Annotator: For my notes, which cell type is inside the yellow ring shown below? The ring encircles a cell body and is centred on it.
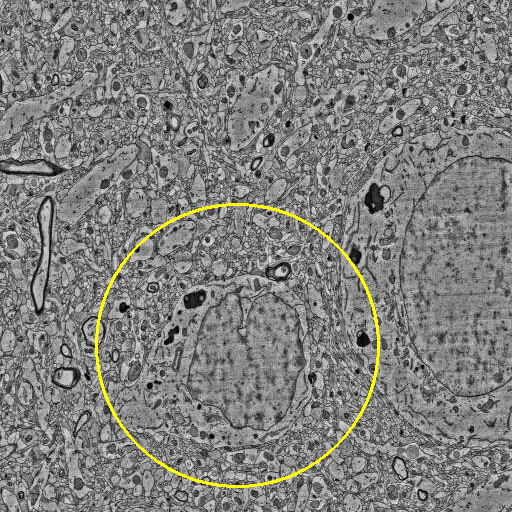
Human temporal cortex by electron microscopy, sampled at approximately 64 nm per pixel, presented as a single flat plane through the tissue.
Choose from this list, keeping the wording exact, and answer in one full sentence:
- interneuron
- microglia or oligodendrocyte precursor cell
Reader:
At the centre of the yellow ring there is an interneuron, as shown in the picture.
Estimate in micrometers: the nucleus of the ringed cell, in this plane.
The nucleus of the ringed cell is approximately 9 by 8 micrometres in this plane.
